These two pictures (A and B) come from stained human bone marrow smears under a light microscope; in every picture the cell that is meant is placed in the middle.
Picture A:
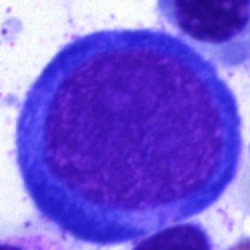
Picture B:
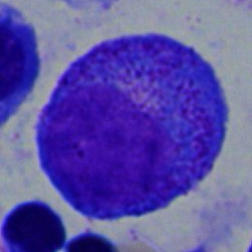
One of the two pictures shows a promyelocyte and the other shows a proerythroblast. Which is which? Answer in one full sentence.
The cell in picture A is a proerythroblast, and the one in picture B is a promyelocyte.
